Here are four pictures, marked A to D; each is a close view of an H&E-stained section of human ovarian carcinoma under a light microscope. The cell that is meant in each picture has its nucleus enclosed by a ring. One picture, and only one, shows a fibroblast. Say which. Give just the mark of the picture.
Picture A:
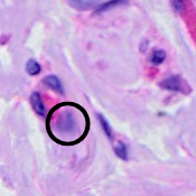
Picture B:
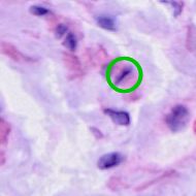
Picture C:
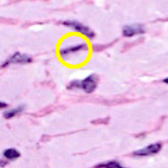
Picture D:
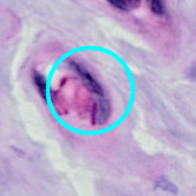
C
